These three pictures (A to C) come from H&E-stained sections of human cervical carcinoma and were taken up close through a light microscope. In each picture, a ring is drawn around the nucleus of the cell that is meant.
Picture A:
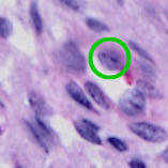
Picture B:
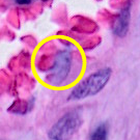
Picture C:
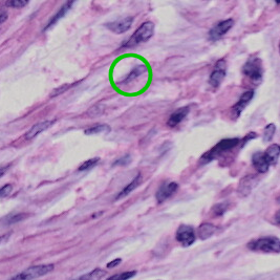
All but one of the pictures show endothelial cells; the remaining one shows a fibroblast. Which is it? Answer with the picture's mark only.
C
